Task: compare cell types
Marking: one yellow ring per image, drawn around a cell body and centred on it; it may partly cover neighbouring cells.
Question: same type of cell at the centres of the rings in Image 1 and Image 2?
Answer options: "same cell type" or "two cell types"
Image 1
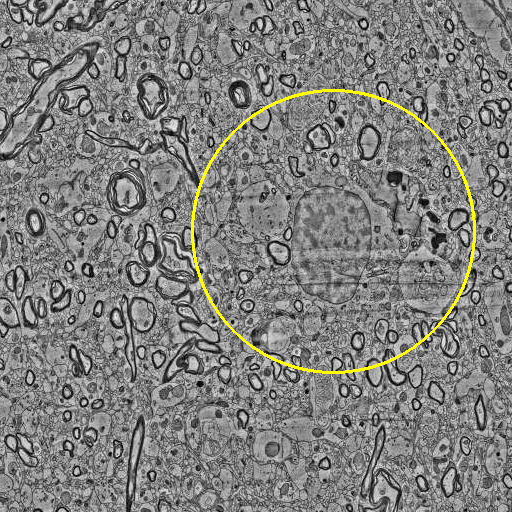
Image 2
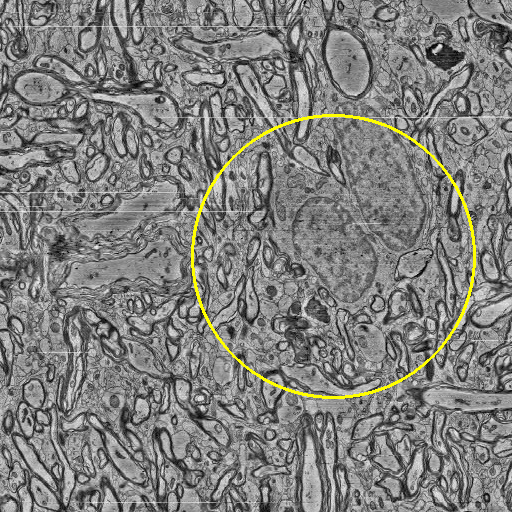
same cell type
